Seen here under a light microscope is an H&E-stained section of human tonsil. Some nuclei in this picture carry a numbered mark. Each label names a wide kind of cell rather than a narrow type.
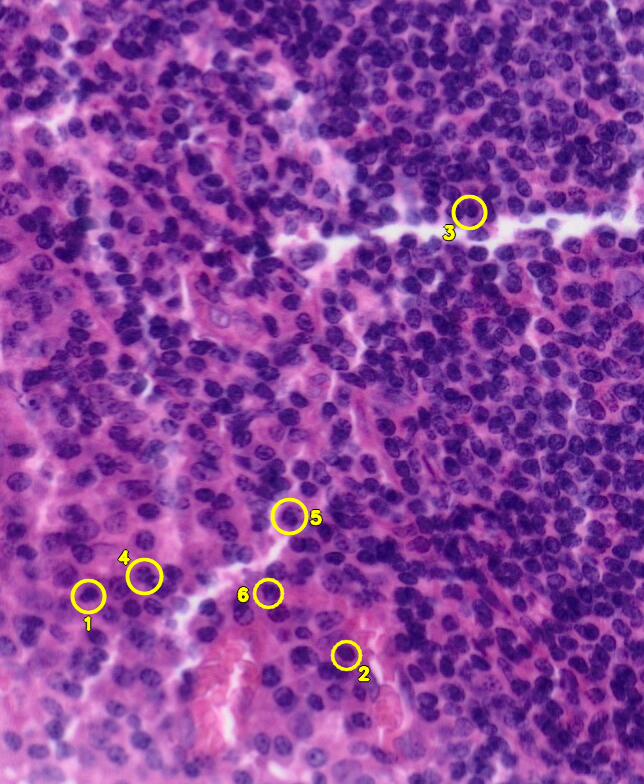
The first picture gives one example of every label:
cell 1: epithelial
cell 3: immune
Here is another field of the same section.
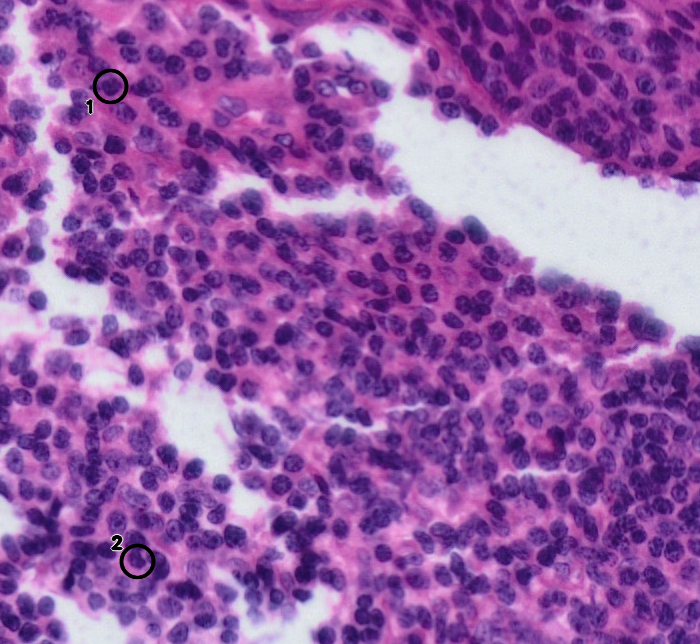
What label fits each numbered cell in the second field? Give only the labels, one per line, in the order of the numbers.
immune
immune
